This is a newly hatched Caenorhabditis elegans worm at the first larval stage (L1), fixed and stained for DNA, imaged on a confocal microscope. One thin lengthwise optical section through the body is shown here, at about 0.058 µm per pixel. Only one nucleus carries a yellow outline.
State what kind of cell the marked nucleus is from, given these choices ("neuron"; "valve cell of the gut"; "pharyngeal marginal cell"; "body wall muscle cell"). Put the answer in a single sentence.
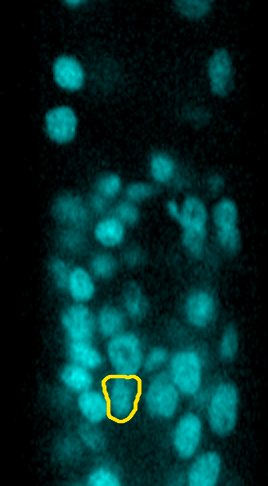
This is the nucleus of a pharyngeal marginal cell.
